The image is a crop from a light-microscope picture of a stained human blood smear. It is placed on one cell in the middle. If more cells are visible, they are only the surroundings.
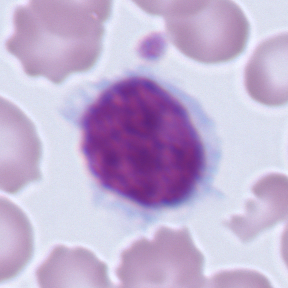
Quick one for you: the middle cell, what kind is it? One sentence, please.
For this crop, the central cell is a hairy cell.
